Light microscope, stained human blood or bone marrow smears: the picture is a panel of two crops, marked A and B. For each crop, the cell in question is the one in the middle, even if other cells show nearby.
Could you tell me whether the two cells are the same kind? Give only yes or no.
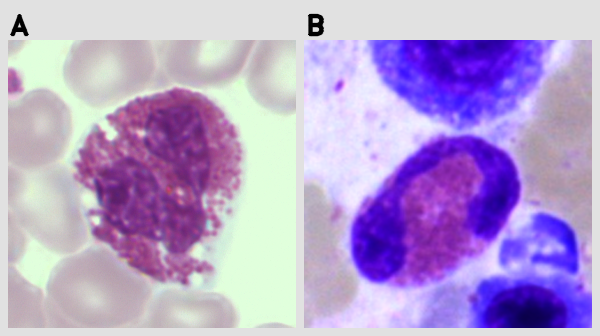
yes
